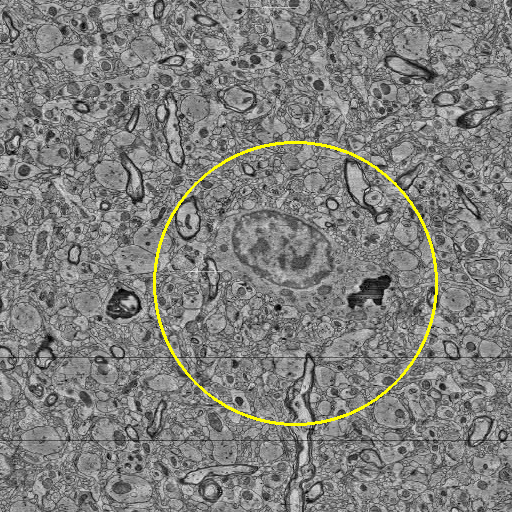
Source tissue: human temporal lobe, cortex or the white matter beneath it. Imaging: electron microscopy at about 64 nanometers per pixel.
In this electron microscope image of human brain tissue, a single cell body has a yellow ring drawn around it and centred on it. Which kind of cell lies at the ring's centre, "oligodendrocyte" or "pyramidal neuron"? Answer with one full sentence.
It is an oligodendrocyte whose cell body lies at the centre of the yellow ring here.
